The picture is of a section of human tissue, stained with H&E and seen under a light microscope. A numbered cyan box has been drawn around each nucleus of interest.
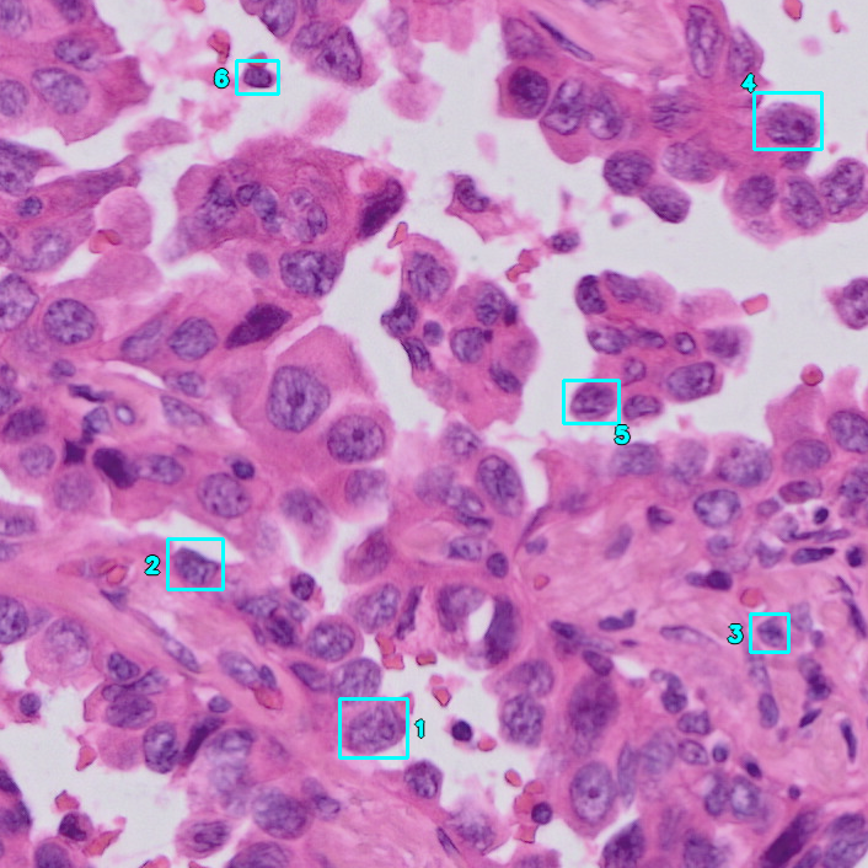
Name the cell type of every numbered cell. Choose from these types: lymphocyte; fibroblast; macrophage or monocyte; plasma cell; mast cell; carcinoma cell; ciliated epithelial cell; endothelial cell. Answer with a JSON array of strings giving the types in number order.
["carcinoma cell", "carcinoma cell", "lymphocyte", "carcinoma cell", "carcinoma cell", "lymphocyte"]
